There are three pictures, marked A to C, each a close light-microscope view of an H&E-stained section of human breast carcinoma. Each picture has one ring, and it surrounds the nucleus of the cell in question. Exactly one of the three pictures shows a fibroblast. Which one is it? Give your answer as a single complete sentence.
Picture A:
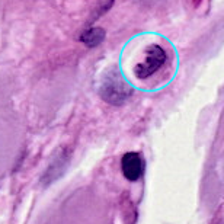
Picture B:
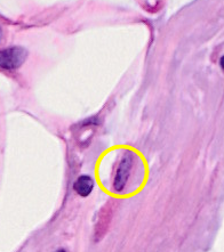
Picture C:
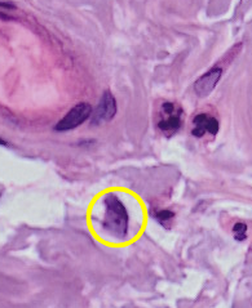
Picture C shows the fibroblast.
